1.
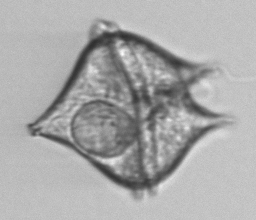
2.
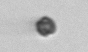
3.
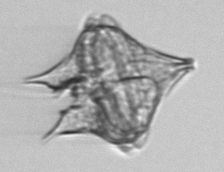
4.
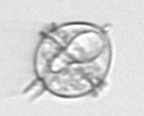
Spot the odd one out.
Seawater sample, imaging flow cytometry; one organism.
Picture 2 (Gephyrocapsa huxleyi among Protoperidinium).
